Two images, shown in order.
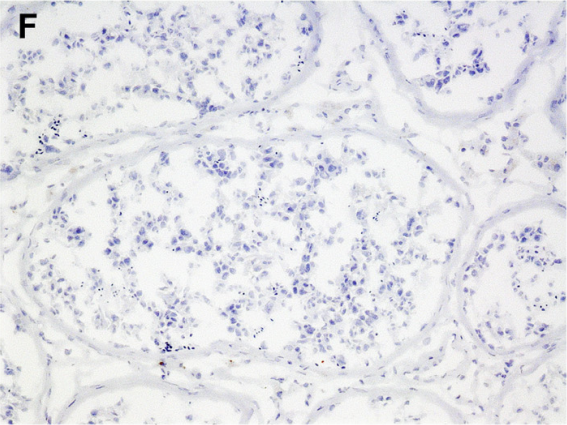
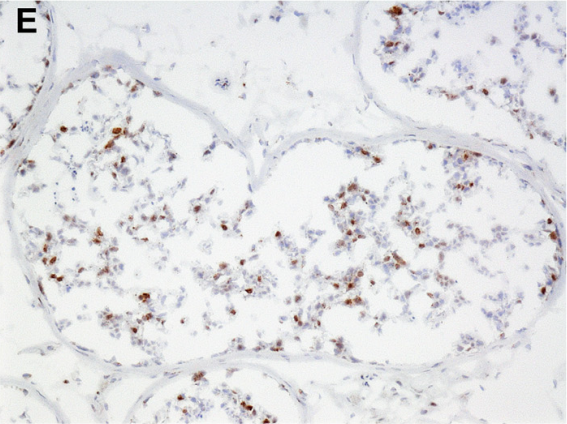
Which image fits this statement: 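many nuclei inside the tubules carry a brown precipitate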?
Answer: the second image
